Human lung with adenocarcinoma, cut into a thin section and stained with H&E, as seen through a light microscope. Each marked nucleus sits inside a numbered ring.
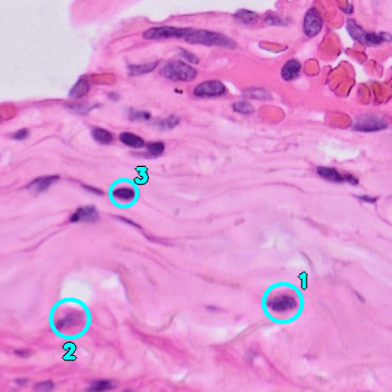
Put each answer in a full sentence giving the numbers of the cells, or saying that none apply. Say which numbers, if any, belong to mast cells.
The cells numbered 1 and 3 are, by type, mast cells.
